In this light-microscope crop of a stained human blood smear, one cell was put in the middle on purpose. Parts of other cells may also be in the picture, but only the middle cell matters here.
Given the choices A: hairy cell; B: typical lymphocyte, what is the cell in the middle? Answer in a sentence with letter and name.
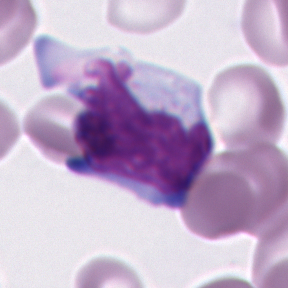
The cell shown centrally is a typical lymphocyte; option B is the correct option.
